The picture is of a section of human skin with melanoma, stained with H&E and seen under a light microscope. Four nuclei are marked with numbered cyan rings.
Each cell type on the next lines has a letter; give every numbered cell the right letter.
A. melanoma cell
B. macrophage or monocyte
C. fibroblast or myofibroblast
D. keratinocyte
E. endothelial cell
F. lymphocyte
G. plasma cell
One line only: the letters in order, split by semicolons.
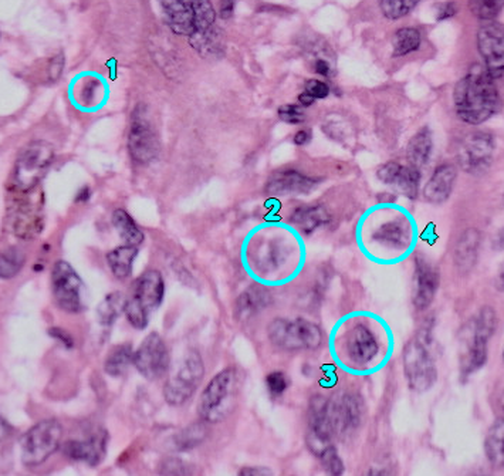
B; A; A; A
